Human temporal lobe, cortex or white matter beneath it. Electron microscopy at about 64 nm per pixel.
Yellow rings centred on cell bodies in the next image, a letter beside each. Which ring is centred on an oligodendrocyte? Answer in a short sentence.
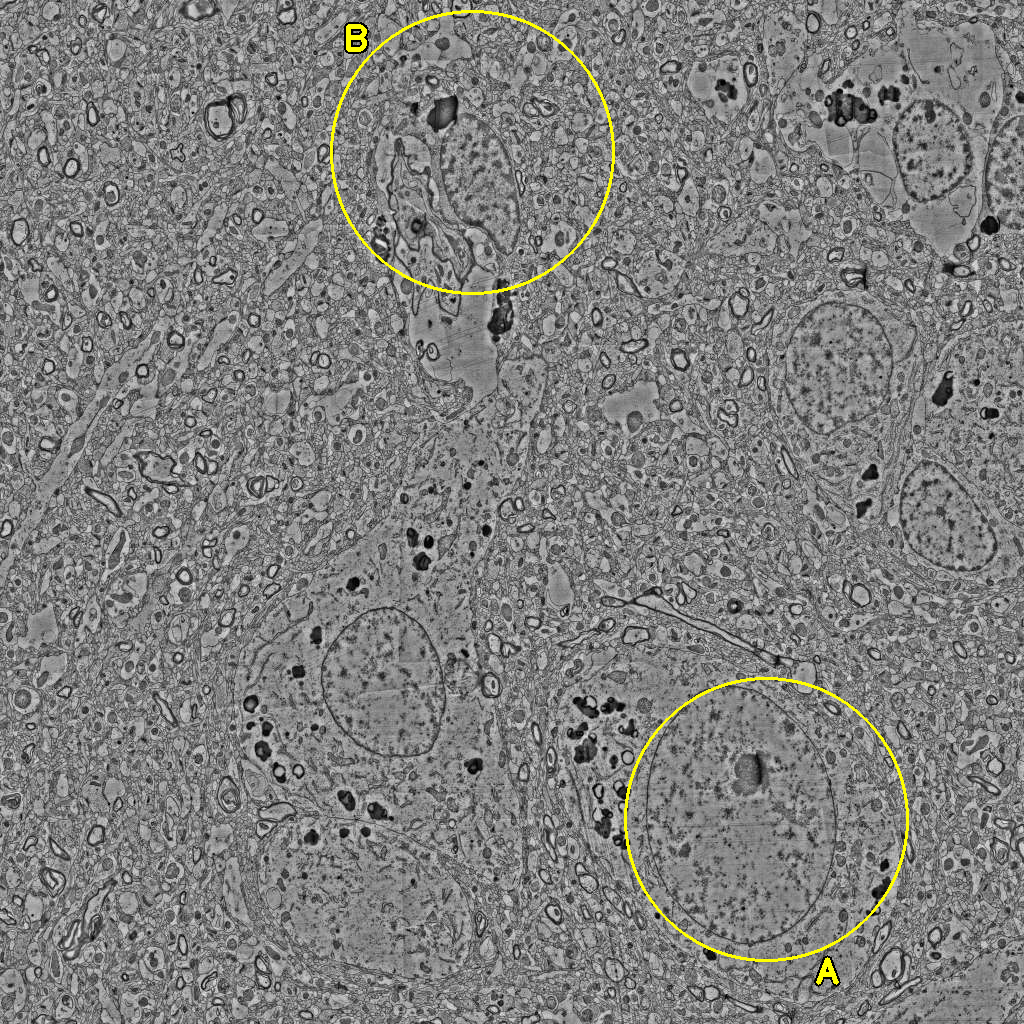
Ring B is centred on it.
